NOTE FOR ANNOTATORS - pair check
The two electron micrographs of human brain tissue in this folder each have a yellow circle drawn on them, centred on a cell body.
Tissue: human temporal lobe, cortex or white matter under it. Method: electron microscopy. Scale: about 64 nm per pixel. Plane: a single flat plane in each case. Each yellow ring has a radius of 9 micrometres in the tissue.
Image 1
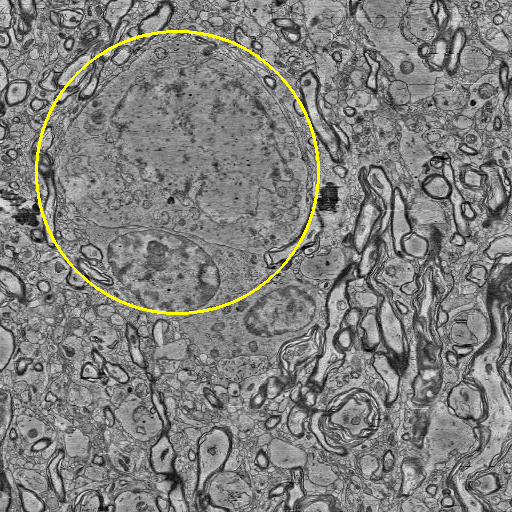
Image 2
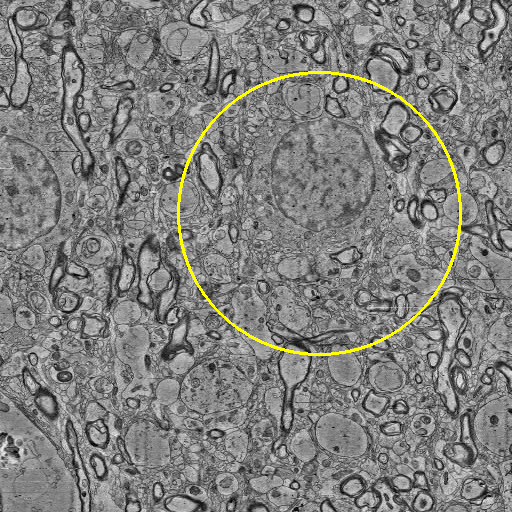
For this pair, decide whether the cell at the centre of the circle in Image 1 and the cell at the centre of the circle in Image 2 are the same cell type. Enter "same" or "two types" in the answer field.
two types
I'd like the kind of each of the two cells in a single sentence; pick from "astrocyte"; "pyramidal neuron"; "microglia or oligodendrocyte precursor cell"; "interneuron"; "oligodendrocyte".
The first ring marks an interneuron, and the second ring marks an oligodendrocyte.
